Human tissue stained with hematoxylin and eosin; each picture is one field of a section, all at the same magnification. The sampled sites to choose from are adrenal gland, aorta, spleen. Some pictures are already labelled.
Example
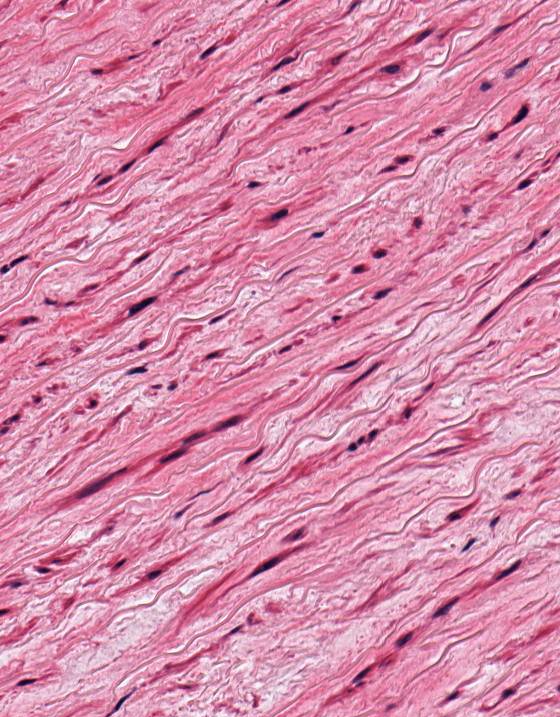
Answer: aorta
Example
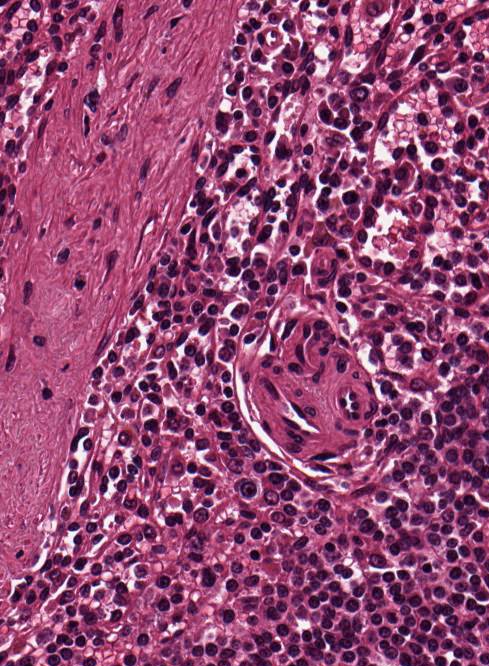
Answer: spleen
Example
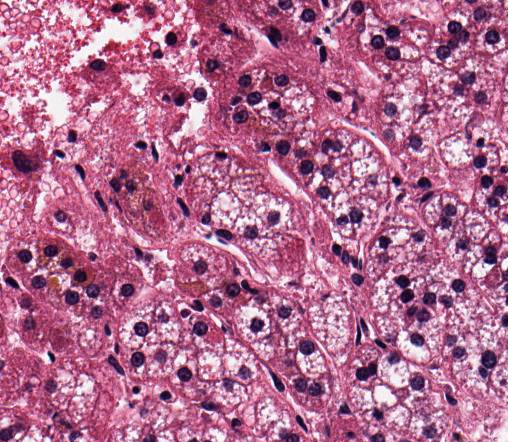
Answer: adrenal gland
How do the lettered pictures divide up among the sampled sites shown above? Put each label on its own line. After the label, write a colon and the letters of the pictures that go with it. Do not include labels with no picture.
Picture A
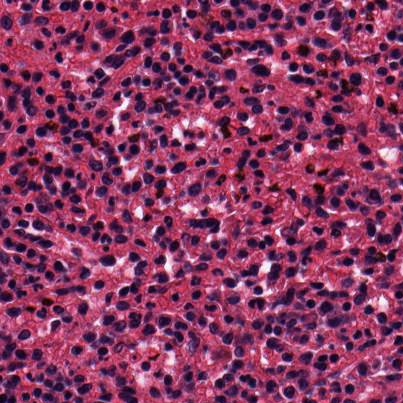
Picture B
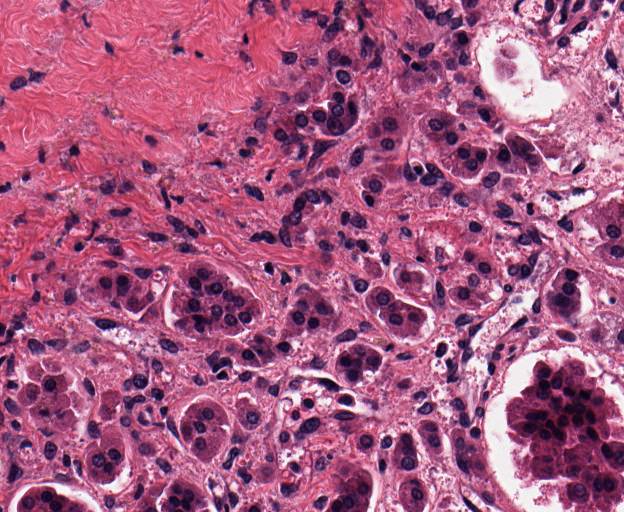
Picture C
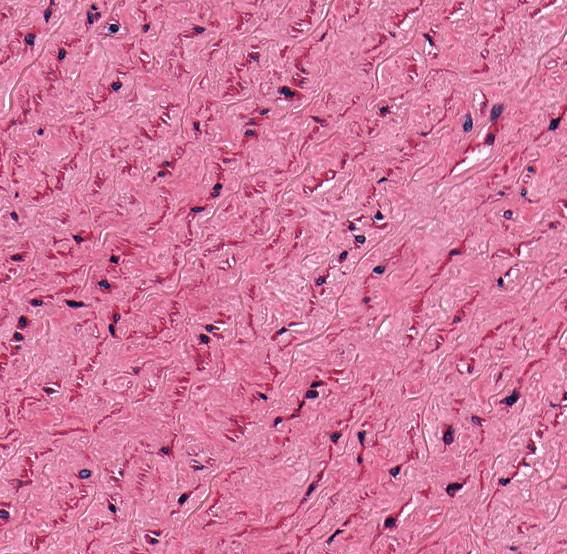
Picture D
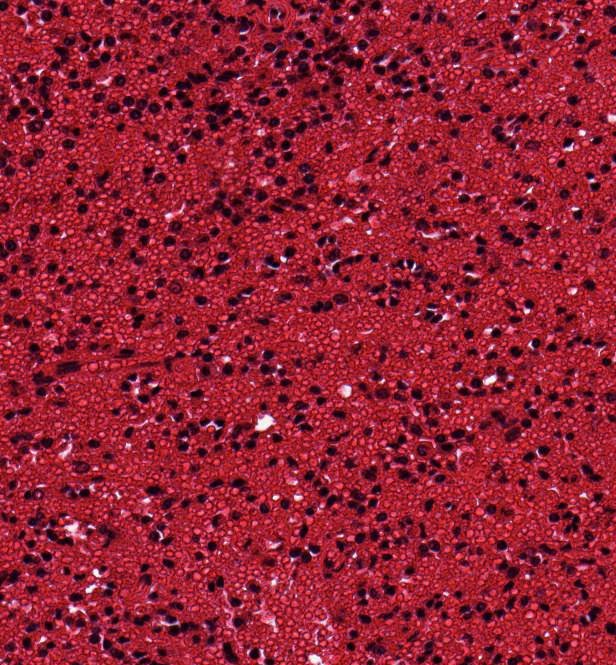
adrenal gland: B
aorta: C
spleen: A, D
